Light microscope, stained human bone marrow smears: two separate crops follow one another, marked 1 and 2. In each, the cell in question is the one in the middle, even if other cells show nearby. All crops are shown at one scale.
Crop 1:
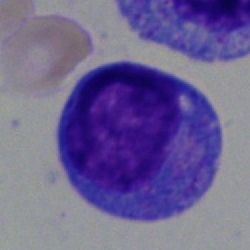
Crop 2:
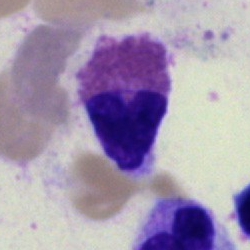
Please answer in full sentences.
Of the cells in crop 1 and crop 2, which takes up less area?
Crop 2 holds the smaller cell, since the cell in crop 1 covers about 2 times as much area.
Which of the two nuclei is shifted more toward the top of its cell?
Seen within its cell, the nucleus in crop 1 lies further toward the top.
